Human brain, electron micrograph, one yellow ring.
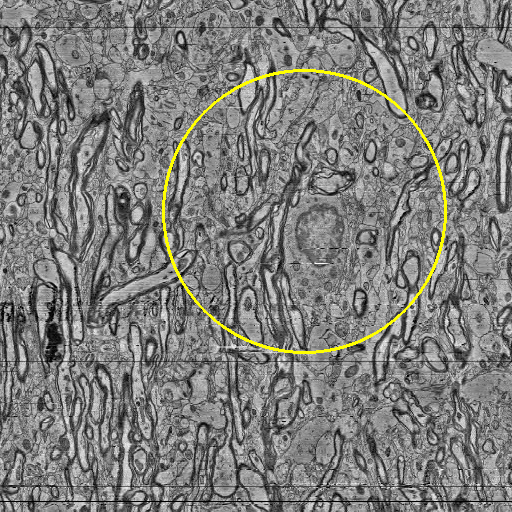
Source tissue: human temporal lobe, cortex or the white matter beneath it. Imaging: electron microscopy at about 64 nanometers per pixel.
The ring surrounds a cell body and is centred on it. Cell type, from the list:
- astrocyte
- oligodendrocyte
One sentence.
The yellow ring circles an oligodendrocyte.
